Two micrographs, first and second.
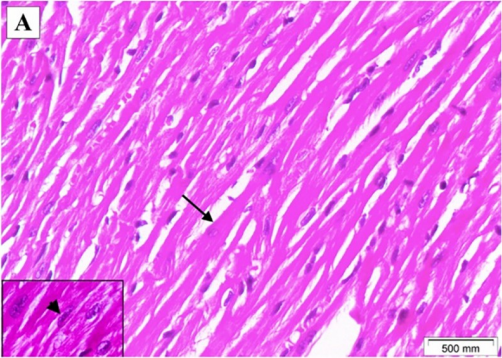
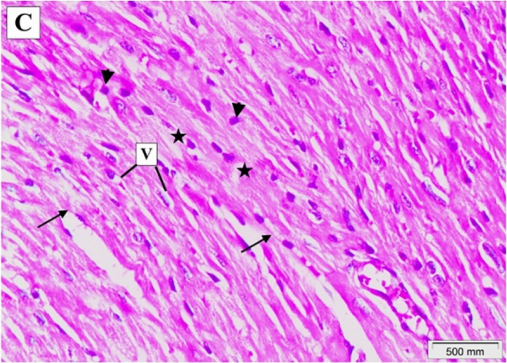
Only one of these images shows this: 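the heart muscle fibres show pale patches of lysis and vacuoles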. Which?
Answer: The second image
